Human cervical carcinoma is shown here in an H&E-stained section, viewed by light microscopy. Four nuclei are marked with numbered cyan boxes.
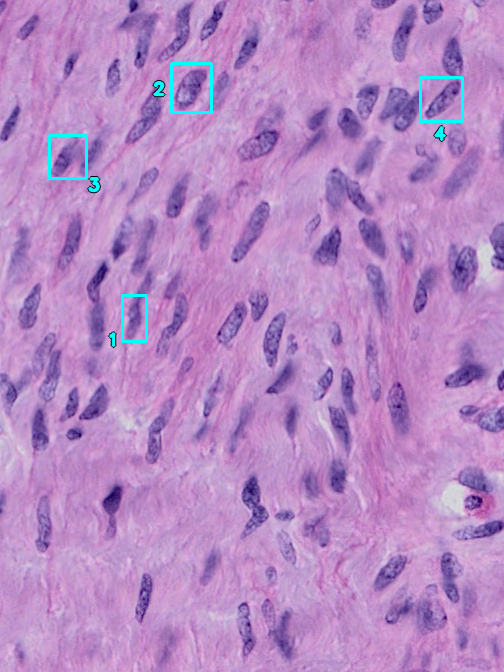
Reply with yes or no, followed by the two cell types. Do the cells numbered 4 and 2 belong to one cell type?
No, cell 4 is a fibroblast and cell 2 is a smooth muscle cell.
